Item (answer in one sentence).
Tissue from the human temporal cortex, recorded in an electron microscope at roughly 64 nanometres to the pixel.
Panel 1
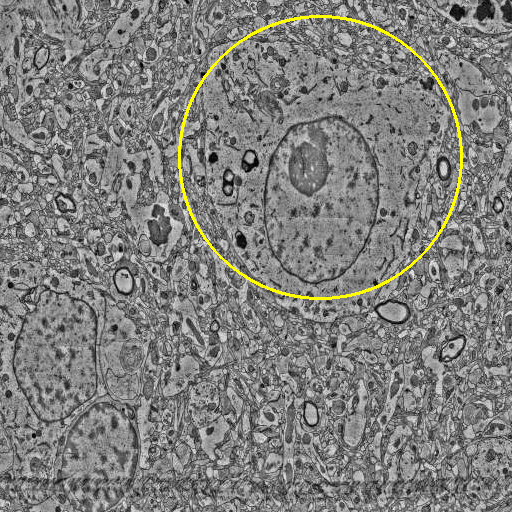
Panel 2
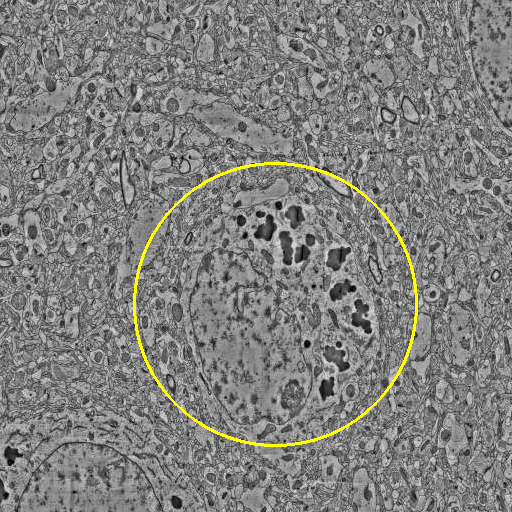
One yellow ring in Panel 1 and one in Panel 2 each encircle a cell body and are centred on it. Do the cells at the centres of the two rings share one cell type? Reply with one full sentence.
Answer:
No, Panel 1 and Panel 2 show cells of two types at the centres of their rings.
